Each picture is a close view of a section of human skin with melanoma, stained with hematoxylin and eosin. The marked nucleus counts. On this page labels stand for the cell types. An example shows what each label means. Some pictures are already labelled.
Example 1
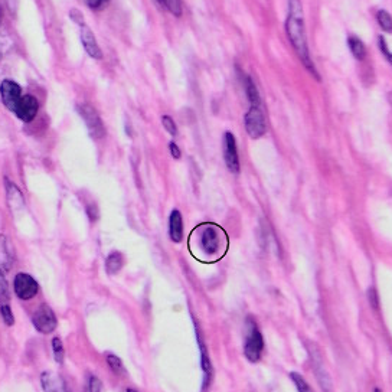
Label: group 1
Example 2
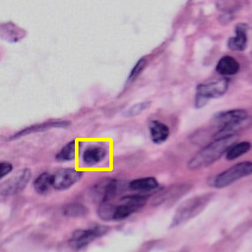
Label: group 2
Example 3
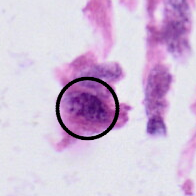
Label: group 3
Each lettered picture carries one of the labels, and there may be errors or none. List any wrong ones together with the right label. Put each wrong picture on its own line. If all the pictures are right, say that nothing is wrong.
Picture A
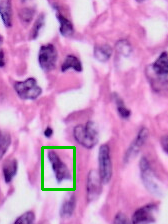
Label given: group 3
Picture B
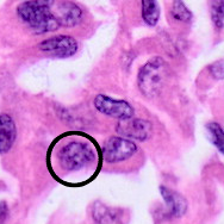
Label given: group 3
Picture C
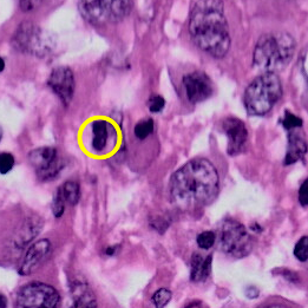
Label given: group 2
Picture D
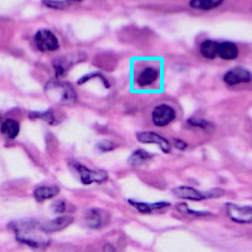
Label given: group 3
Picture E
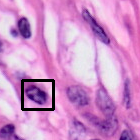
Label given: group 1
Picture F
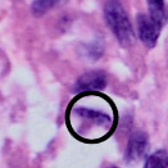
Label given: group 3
D is labelled group 3; correct label: group 1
